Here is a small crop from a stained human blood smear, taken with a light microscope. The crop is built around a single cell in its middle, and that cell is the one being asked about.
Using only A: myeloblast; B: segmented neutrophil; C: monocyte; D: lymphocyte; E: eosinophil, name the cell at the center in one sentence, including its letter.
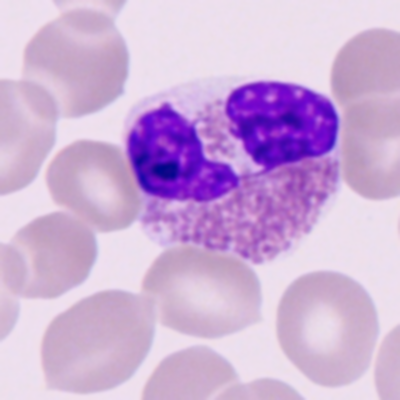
The cell at the centre, correctly named in option E, is an eosinophil.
